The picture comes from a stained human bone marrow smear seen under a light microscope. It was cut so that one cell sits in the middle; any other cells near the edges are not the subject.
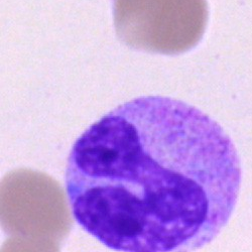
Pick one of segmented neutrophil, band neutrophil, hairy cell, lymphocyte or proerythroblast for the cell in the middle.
band neutrophil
